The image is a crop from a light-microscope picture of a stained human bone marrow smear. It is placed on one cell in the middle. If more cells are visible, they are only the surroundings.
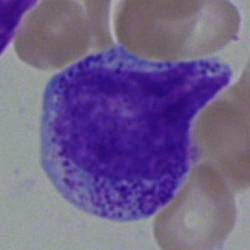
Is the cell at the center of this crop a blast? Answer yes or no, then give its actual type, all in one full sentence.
No, the middle of the crop holds a myelocyte, not a blast.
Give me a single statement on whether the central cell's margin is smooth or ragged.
A smooth outline is absent here, replaced by ragged stretches or projections.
